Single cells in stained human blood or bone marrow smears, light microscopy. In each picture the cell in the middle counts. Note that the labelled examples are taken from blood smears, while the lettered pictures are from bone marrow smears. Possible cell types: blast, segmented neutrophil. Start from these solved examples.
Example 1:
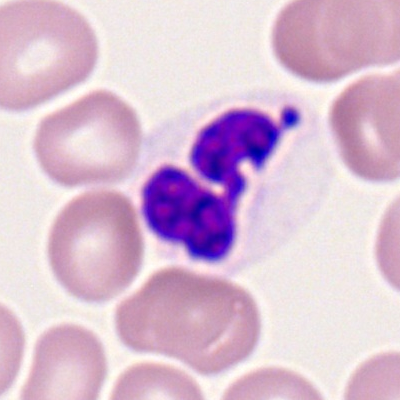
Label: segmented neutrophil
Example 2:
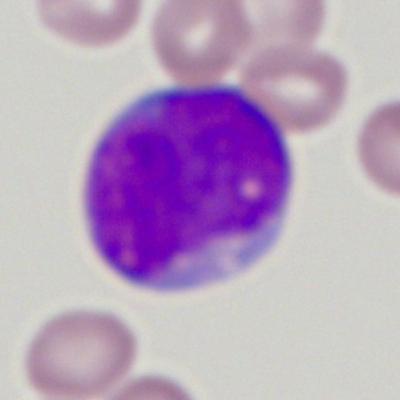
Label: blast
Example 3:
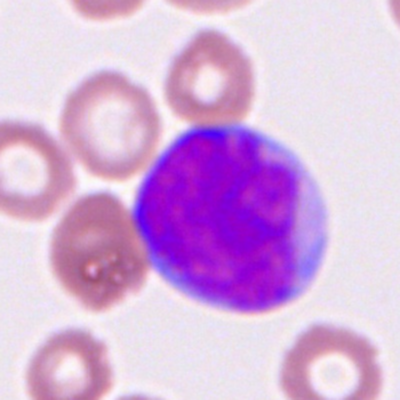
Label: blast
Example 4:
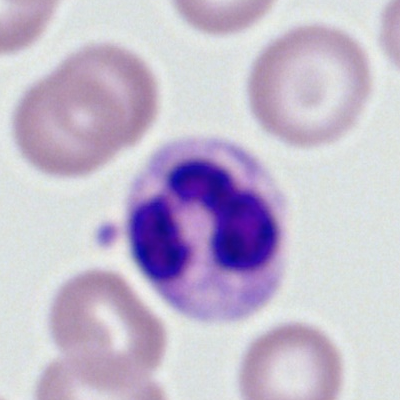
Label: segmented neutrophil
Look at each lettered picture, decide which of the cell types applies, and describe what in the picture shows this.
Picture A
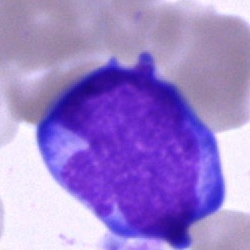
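Label: blast. The chromatin is finely stippled rather than coarsely clumped.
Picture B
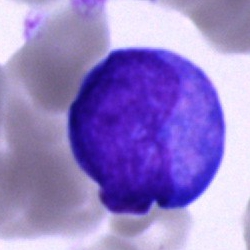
Label: blast. The chromatin looks finely stippled rather than gathered into coarse dark clumps.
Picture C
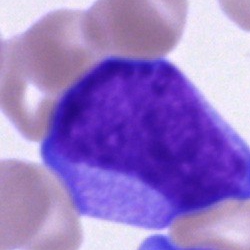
Label: blast. The nucleus fills most of the cell.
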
